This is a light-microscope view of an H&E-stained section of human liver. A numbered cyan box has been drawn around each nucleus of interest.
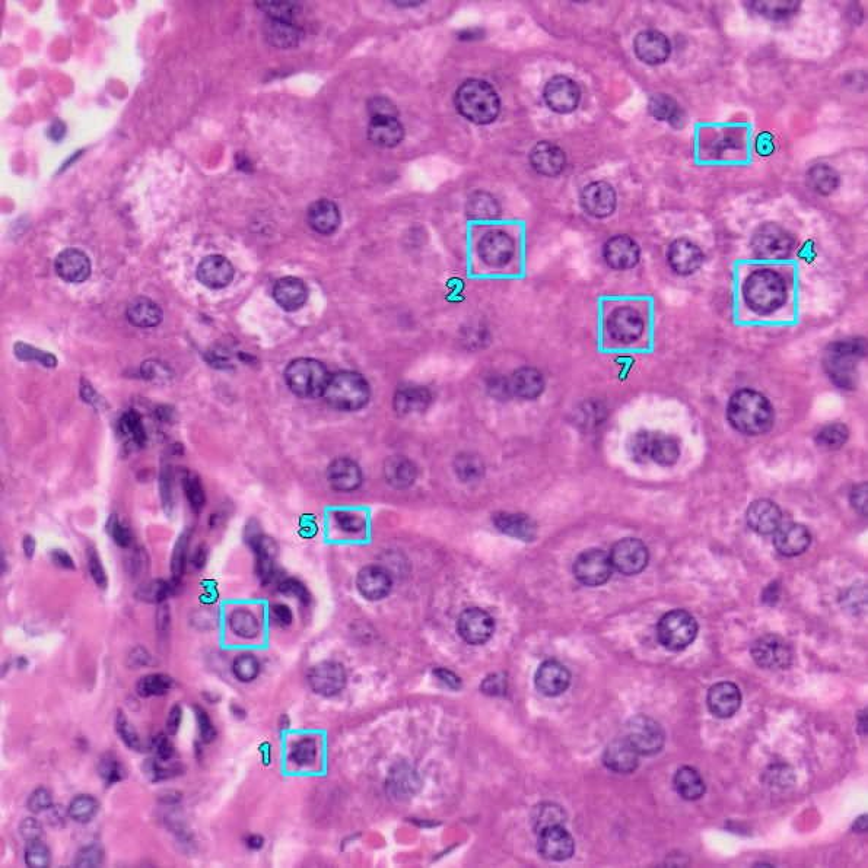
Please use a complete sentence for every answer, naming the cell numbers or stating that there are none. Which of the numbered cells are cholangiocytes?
The one cell that is a cholangiocyte is cell 3, and no other.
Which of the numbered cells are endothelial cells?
Only one marked cell, number 6, is an endothelial cell.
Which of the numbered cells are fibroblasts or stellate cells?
In this section, the cells numbered 1 and 5 are fibroblasts or stellate cells.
